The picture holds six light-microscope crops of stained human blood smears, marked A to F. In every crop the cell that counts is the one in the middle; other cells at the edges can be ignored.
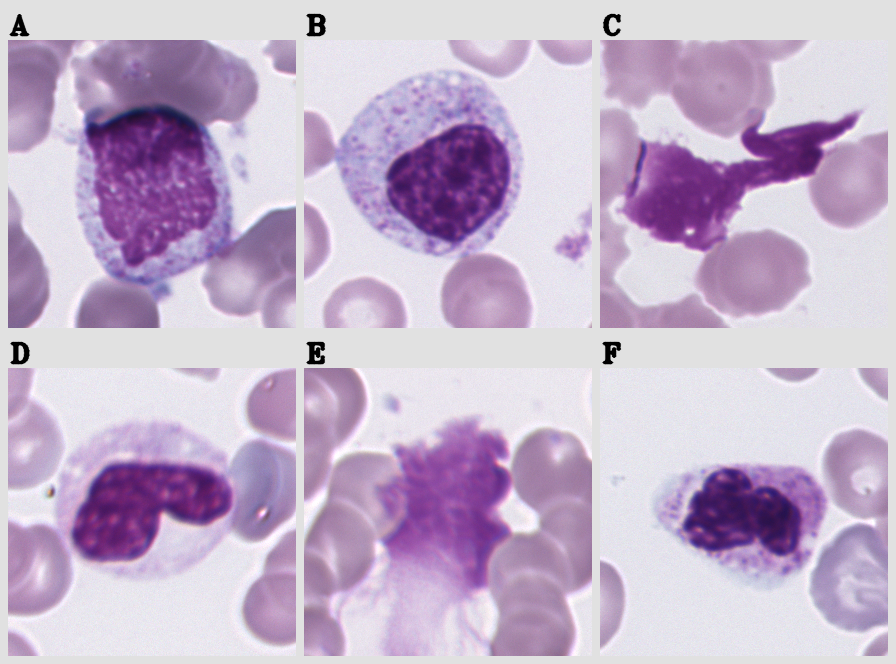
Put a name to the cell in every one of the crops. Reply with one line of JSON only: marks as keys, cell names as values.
{"A": "myelocyte", "B": "myelocyte", "C": "smudge cell", "D": "band neutrophil", "E": "smudge cell", "F": "segmented neutrophil"}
